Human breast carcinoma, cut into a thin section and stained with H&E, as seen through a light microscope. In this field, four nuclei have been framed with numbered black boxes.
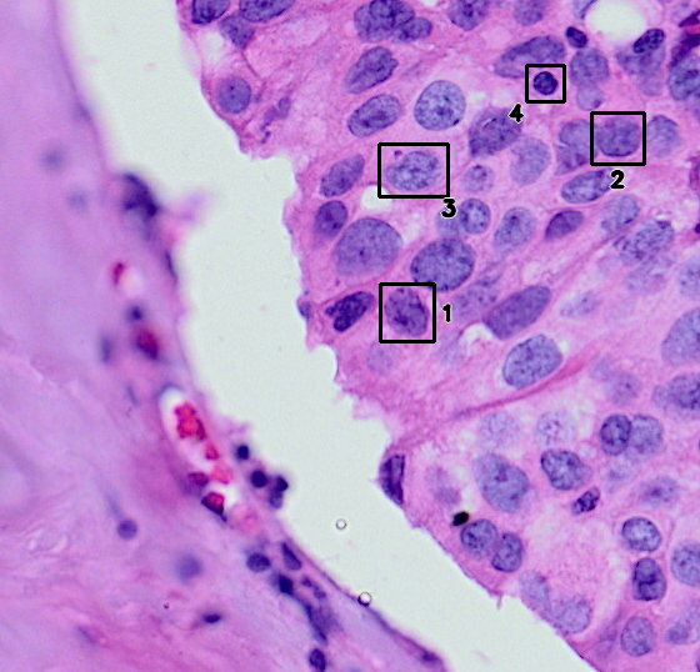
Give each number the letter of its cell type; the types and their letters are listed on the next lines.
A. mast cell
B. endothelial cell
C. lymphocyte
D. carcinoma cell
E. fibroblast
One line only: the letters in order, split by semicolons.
D; D; D; C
